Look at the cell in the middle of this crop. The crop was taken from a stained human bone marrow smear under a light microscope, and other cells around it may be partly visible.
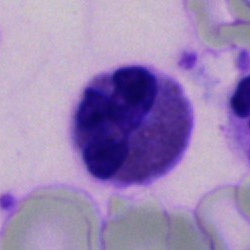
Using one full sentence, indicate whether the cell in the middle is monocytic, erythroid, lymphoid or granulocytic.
By lineage, the cell in the middle of the crop is granulocytic.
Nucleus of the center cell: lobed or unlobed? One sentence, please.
Counting the nuclear lobes gives a total of at least two.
